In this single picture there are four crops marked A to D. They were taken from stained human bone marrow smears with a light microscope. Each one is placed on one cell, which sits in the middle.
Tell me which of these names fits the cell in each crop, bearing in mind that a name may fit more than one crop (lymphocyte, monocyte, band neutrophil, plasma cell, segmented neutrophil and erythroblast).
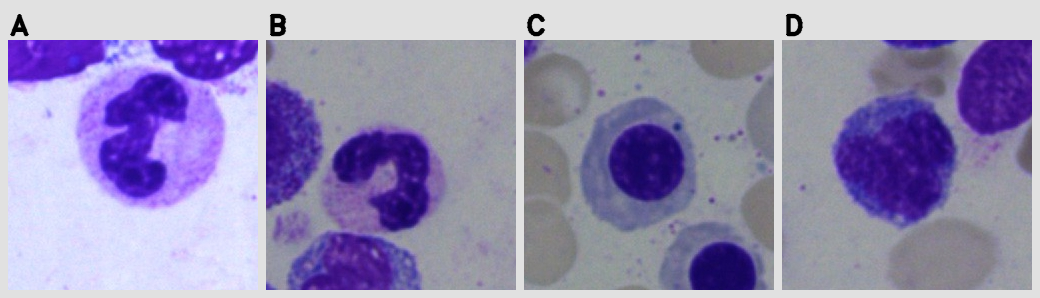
A: segmented neutrophil
B: segmented neutrophil
C: erythroblast
D: monocyte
